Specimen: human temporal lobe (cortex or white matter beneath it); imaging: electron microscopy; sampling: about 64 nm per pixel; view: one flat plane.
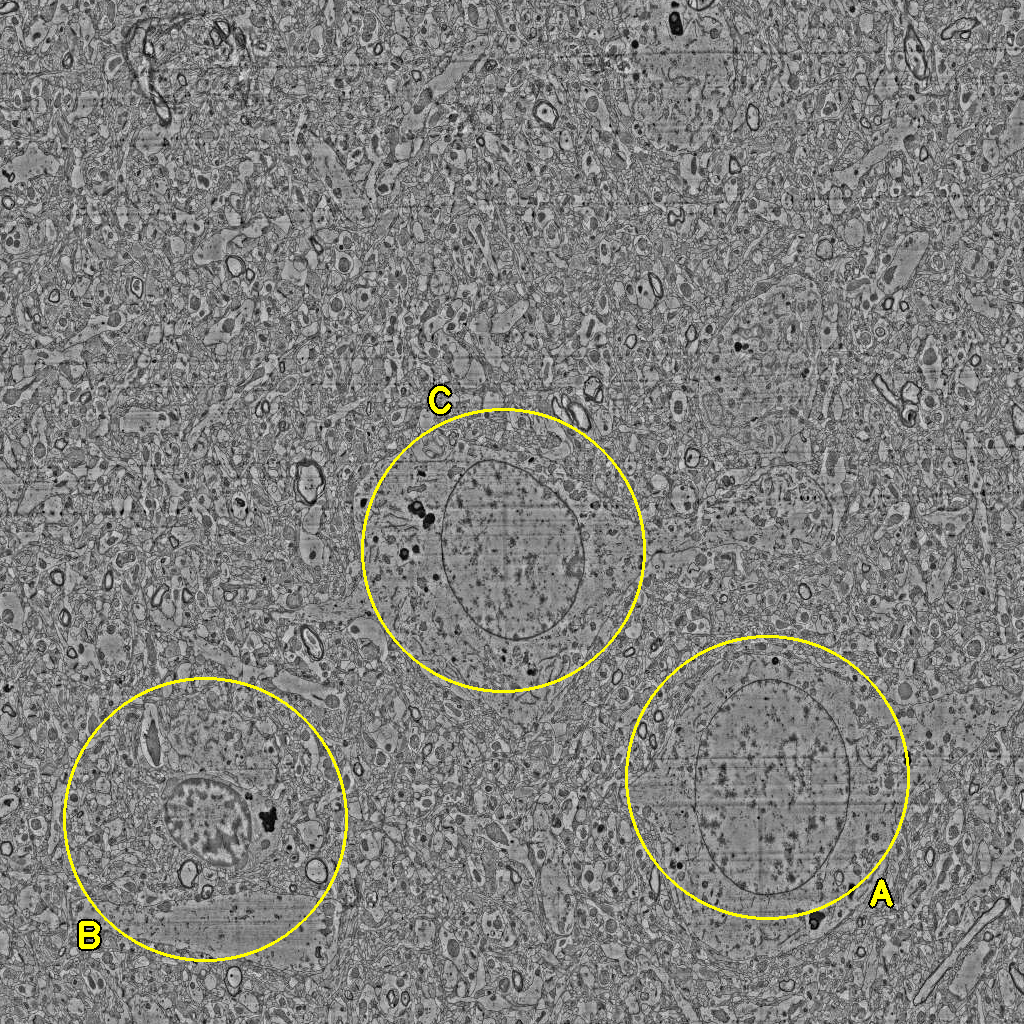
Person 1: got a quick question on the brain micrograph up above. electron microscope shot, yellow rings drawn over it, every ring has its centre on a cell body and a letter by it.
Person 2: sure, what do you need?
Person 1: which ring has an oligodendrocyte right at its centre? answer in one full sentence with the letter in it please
In that picture, ring B is centred on the cell asked for.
